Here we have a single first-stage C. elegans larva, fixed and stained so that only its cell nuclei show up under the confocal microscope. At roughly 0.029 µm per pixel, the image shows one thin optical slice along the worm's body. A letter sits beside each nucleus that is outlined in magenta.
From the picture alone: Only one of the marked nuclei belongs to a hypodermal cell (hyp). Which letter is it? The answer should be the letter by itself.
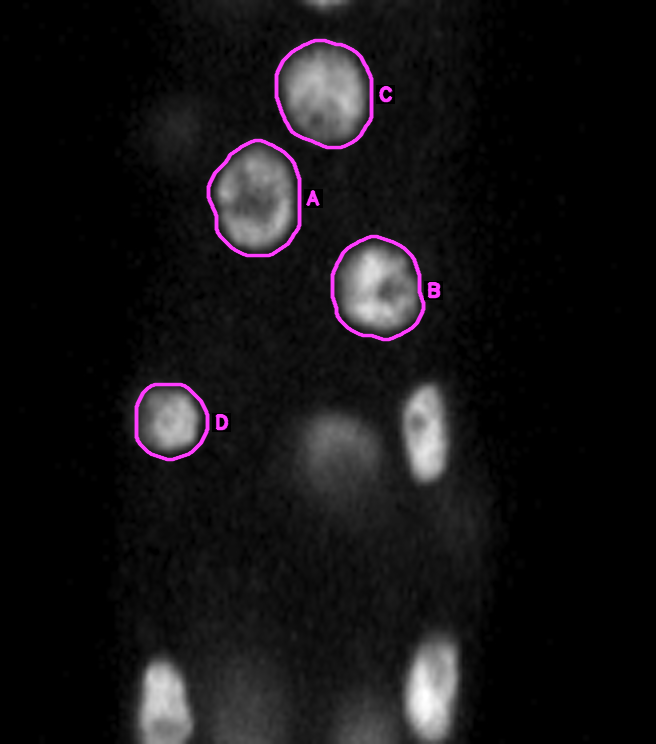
A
